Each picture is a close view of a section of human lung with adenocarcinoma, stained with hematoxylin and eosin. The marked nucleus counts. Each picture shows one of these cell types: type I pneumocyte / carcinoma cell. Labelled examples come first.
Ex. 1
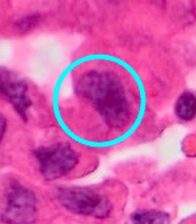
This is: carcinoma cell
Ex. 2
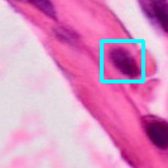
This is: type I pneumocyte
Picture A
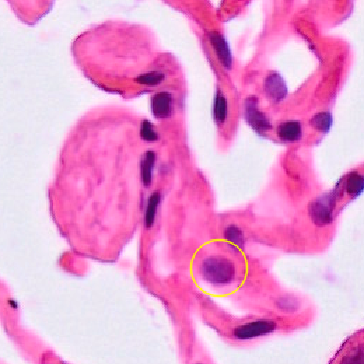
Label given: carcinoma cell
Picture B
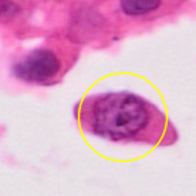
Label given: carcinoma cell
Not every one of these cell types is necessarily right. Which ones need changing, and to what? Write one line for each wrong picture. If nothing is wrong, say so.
A: type I pneumocyte, not carcinoma cell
